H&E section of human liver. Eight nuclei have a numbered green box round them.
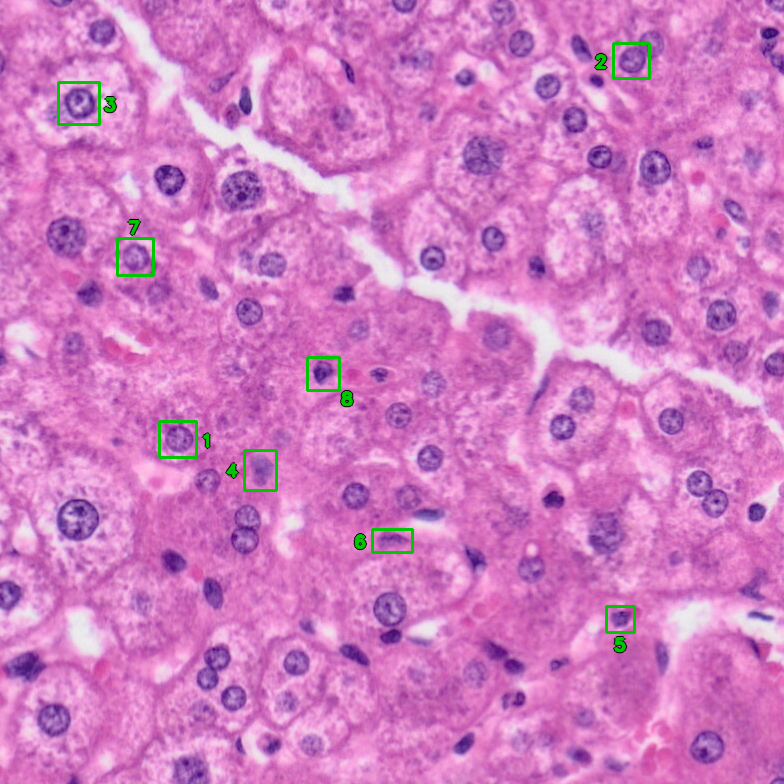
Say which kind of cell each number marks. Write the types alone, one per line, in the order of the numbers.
hepatocyte
hepatocyte
hepatocyte
endothelial cell
lymphocyte
endothelial cell
hepatocyte
endothelial cell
